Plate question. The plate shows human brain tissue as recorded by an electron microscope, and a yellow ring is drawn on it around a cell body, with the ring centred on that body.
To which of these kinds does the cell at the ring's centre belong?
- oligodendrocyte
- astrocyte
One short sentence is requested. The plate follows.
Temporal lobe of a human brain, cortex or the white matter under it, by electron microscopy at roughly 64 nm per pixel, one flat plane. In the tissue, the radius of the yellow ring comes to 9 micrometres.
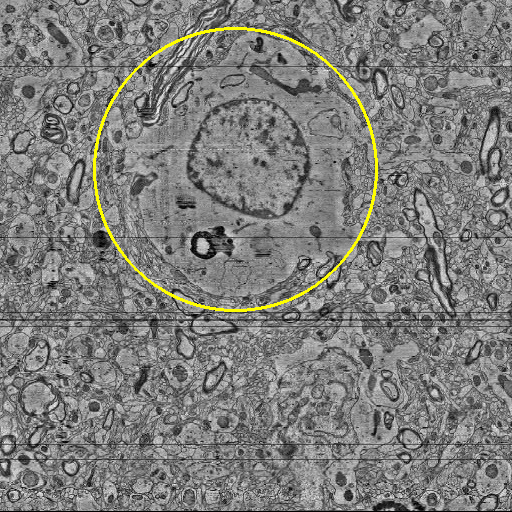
The cell at the ring's centre is an astrocyte.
